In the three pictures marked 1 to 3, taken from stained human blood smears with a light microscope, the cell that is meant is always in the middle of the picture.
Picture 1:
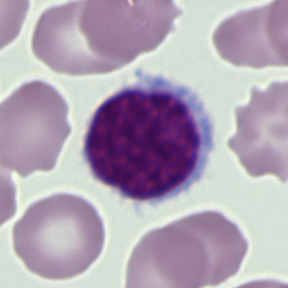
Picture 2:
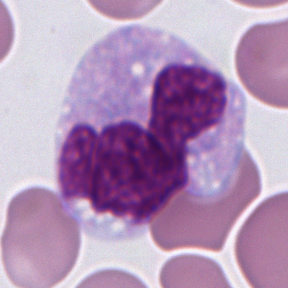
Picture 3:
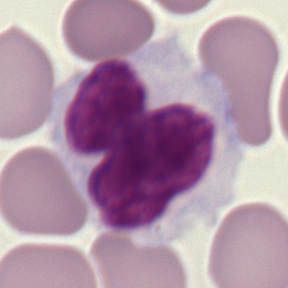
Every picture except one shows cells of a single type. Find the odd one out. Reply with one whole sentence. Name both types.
Unlike the rest, which show hairy cells, picture 2 shows a monocyte.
